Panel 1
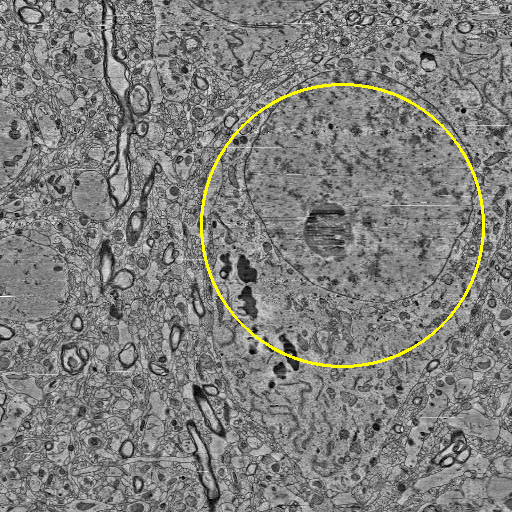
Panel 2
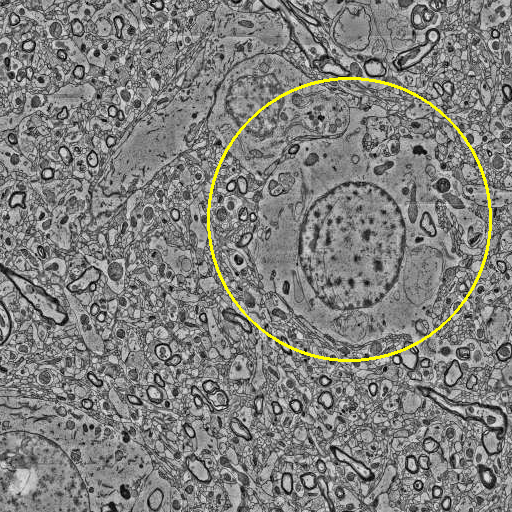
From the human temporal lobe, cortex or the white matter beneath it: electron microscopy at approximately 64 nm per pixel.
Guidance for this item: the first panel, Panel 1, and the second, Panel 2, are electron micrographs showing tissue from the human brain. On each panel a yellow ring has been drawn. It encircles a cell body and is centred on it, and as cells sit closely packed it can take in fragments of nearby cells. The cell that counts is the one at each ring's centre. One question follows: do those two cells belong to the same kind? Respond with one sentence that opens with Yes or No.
No, the cells at the ring centres in Panel 1 and Panel 2 are of two kinds.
